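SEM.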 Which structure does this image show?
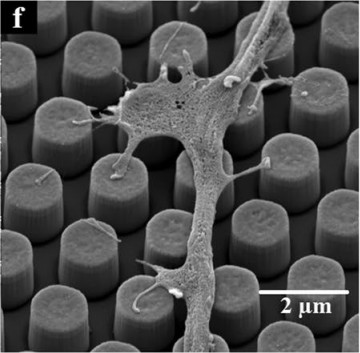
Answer: Growth cone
